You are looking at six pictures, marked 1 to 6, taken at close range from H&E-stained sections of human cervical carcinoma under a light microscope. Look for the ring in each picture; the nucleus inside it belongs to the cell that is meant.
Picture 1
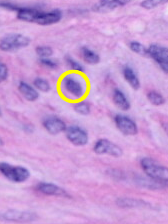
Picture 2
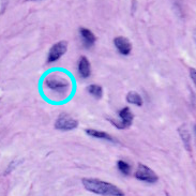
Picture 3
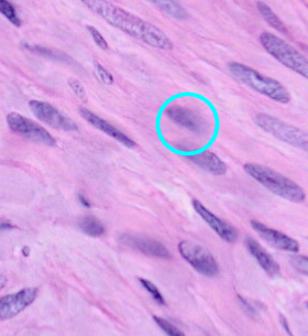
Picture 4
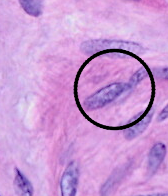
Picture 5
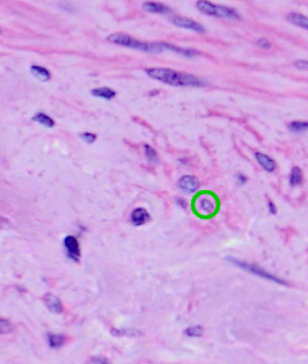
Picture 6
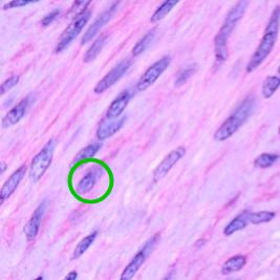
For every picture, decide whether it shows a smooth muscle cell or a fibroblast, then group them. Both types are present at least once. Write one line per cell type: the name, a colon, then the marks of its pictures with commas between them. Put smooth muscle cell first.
smooth muscle cell: 1, 4, 5, 6
fibroblast: 2, 3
